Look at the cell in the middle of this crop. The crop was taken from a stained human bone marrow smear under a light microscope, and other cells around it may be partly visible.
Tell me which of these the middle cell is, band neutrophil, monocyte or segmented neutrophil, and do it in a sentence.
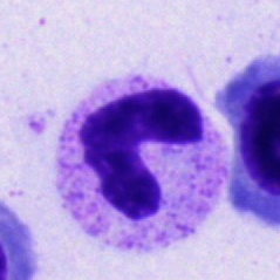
The cell at the middle of the frame should be recorded as a band neutrophil.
